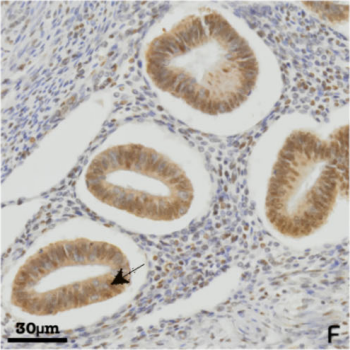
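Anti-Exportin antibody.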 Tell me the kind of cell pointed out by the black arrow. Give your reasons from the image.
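The arrow points to the lining of a gland around a central lumen. Lining cells are tall with elongated nuclei stacked side by side.
Luminal columnar epithelial cells.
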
